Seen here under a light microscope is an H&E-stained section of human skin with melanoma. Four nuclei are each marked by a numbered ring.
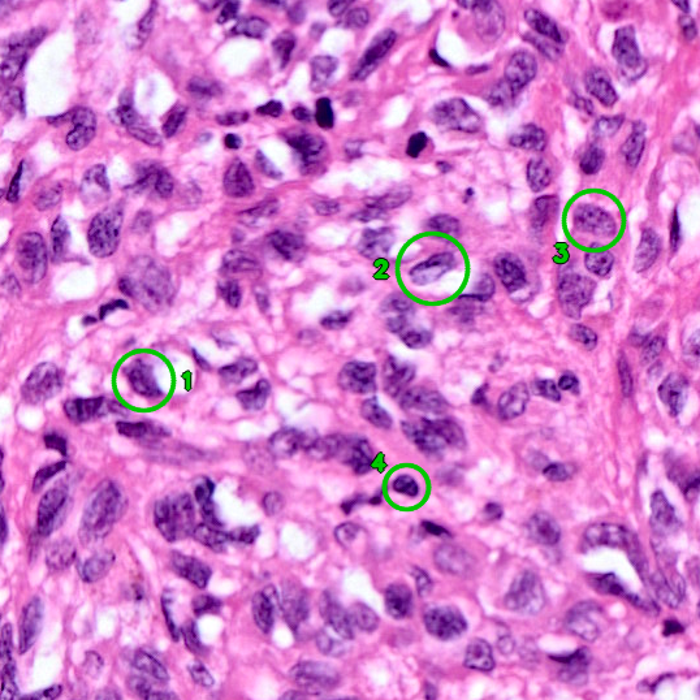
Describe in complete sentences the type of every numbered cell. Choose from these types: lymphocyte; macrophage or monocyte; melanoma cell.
Cell 1 is a melanoma cell, cell 2 is a melanoma cell, cell 3 is a melanoma cell and cell 4 is a lymphocyte.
